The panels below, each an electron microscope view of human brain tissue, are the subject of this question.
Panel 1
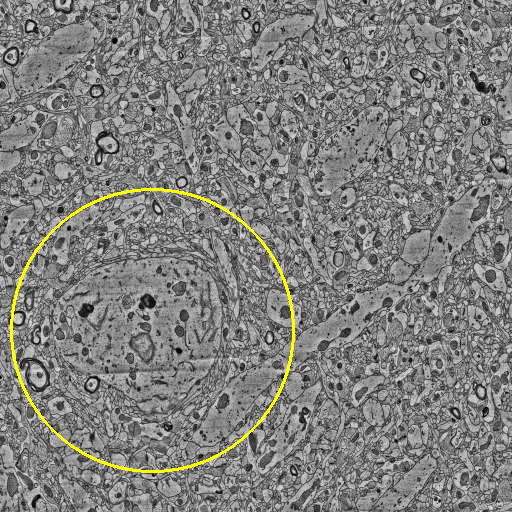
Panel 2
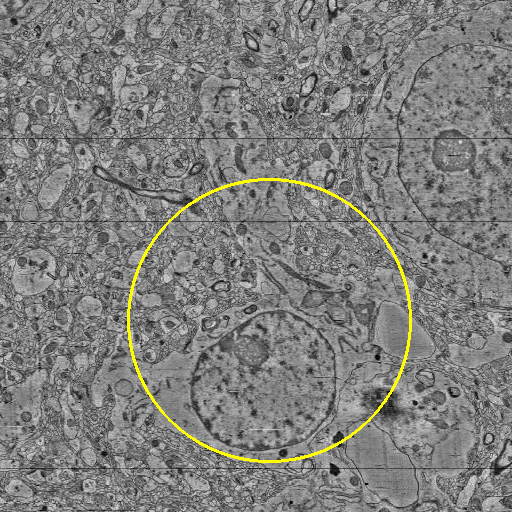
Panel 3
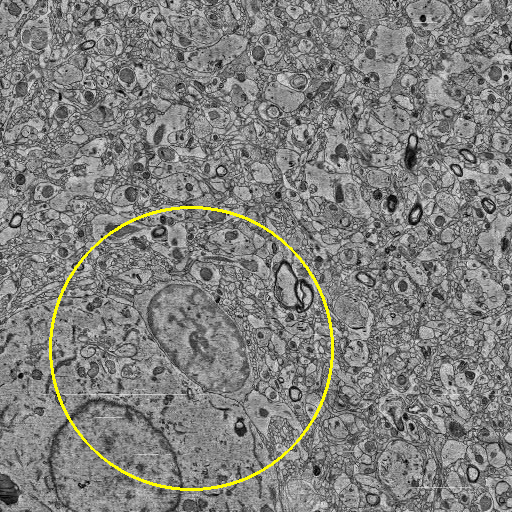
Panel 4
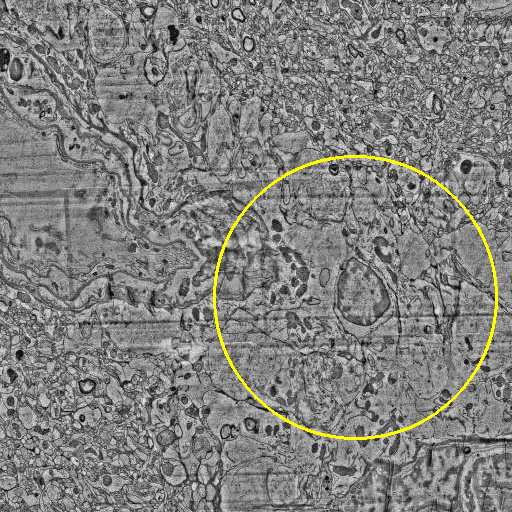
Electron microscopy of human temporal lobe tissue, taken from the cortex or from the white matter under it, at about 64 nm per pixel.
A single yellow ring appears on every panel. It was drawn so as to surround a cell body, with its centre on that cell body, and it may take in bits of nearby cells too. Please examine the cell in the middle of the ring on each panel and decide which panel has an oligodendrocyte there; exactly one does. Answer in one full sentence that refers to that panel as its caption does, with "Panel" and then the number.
Panel 3 is where the ring's central cell answers the question.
